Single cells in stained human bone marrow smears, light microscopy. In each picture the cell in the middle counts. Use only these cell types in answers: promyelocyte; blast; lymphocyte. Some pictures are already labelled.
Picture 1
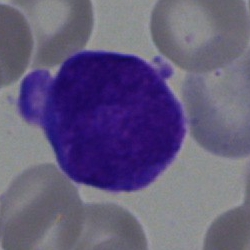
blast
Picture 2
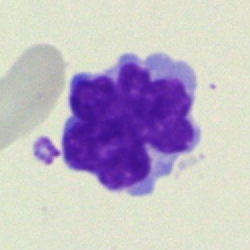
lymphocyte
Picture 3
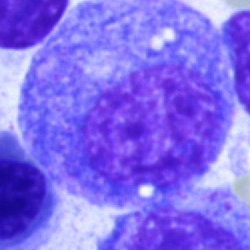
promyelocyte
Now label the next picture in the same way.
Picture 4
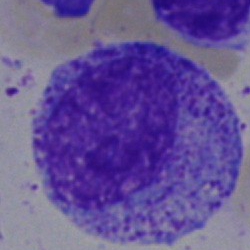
promyelocyte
